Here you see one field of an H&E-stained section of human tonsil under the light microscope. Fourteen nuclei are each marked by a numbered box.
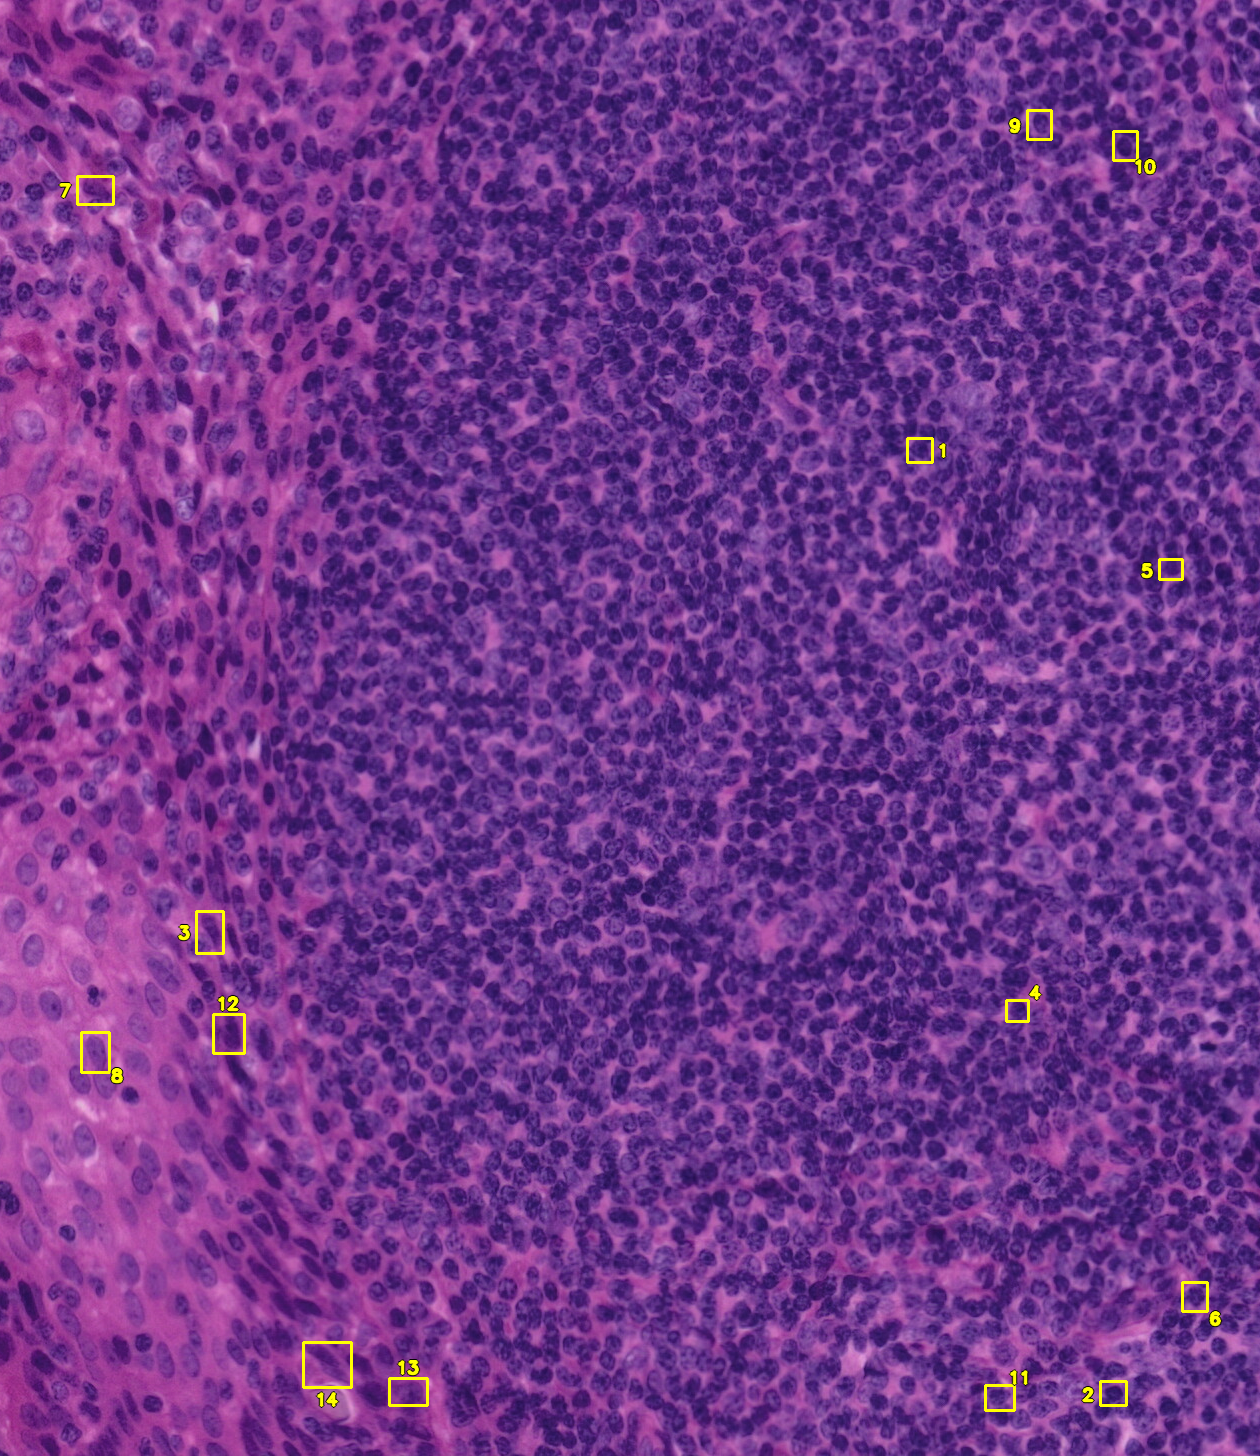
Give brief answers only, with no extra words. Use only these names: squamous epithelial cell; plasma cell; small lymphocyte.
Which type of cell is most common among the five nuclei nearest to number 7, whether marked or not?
squamous epithelial cell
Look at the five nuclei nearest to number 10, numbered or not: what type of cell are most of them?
small lymphocyte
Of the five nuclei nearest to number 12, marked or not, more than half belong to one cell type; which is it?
squamous epithelial cell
